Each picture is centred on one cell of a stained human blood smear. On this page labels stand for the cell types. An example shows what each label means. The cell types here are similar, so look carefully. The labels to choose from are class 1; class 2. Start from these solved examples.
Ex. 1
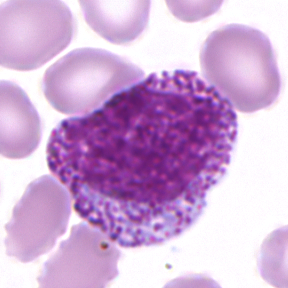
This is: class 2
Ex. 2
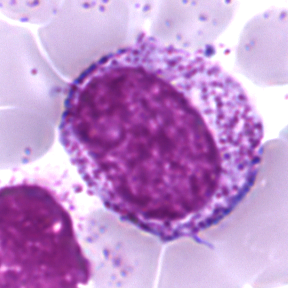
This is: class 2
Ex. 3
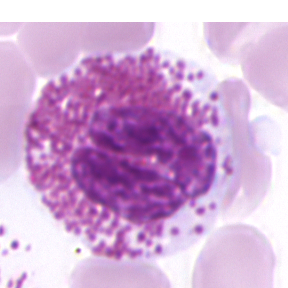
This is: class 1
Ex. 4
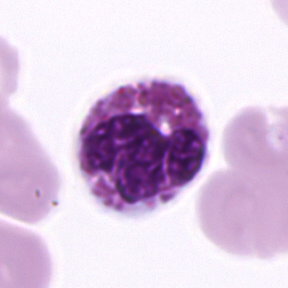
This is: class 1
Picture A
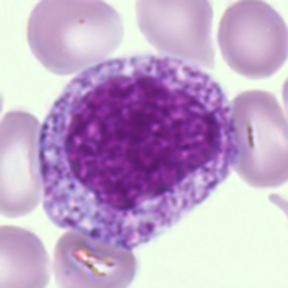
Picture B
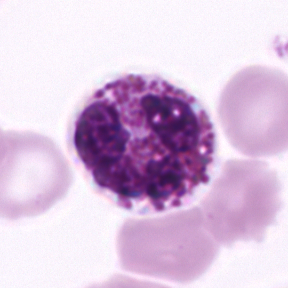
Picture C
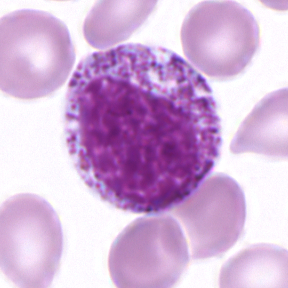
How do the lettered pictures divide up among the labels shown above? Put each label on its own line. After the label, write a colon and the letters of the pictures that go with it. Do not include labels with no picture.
class 1: B
class 2: A, C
